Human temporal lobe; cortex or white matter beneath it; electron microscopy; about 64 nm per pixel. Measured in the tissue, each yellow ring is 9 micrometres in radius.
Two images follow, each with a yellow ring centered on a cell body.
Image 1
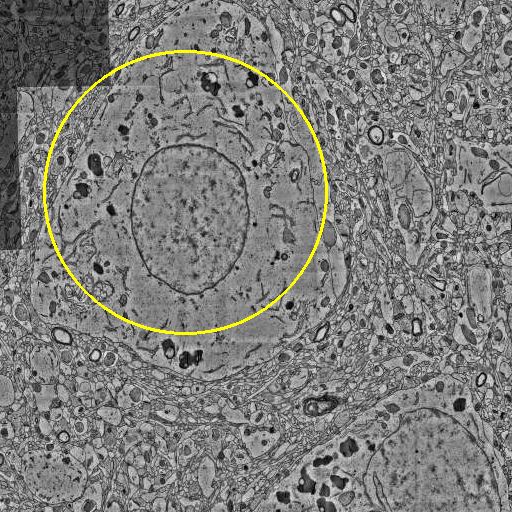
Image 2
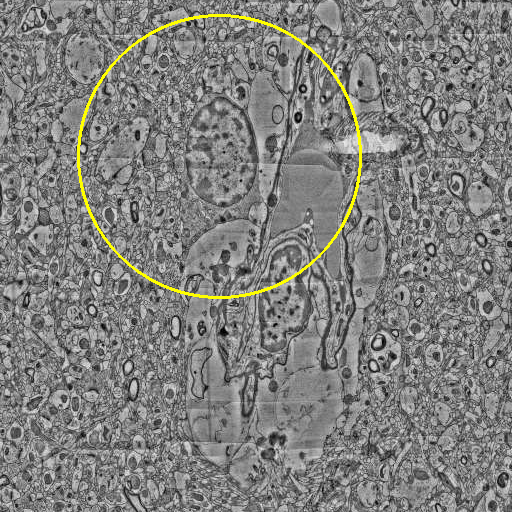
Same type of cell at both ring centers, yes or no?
no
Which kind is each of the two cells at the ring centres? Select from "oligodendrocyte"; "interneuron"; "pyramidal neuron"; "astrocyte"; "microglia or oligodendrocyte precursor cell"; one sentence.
The cell at the centre of the ring is a pyramidal neuron in the first picture and an oligodendrocyte in the second.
